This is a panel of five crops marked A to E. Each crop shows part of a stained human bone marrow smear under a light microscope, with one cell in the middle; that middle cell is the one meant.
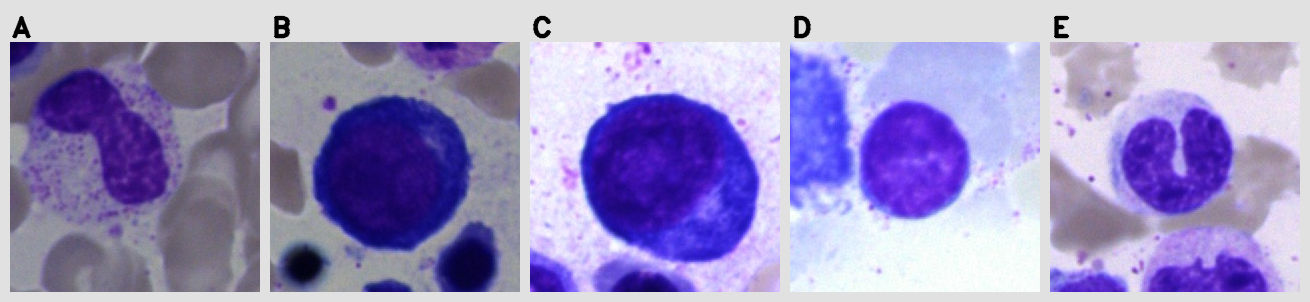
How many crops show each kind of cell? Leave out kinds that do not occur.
band neutrophil: 2
proerythroblast: 2
lymphocyte: 1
